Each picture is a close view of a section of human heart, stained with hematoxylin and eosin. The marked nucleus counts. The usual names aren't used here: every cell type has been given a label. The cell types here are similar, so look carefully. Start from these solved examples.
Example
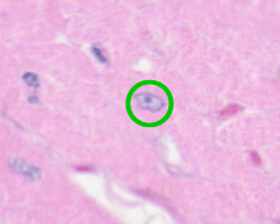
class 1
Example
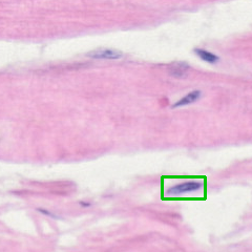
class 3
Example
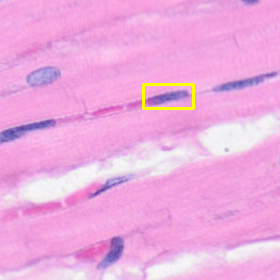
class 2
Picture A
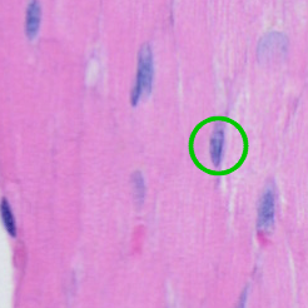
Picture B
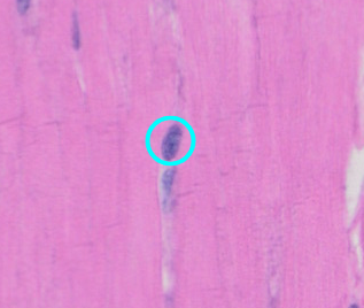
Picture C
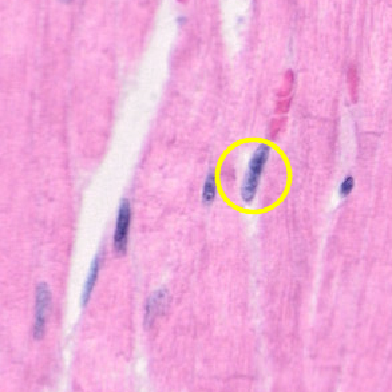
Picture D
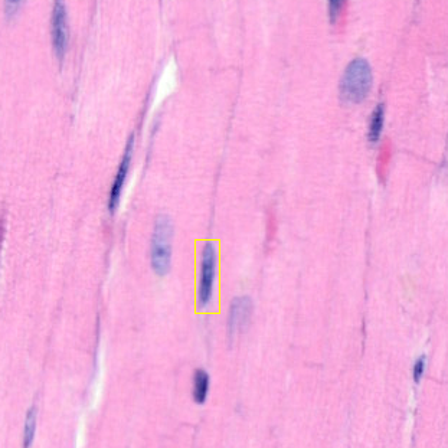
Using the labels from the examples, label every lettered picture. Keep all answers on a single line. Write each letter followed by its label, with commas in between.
A class 2, B class 3, C class 3, D class 2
